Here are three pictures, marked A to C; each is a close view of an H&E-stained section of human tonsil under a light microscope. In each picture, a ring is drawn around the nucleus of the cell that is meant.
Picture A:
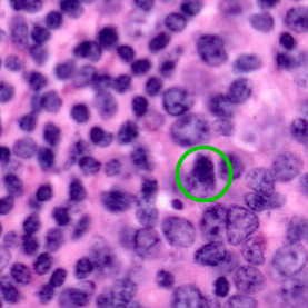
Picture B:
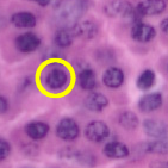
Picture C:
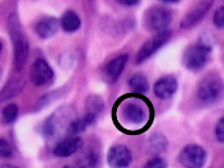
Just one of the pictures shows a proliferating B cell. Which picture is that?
A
